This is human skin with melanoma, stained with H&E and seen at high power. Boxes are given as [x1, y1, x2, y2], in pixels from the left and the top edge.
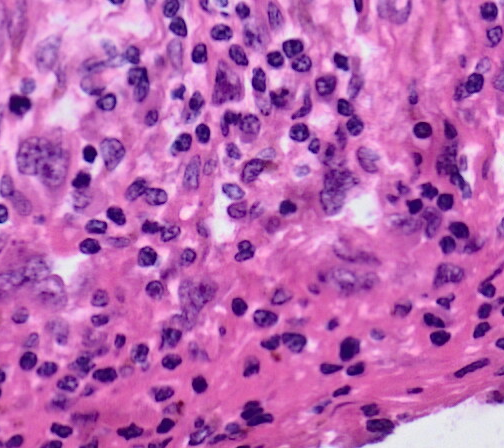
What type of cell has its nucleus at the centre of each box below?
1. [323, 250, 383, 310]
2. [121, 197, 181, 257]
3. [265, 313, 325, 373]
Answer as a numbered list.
1. melanoma cell
2. lymphocyte
3. plasma cell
